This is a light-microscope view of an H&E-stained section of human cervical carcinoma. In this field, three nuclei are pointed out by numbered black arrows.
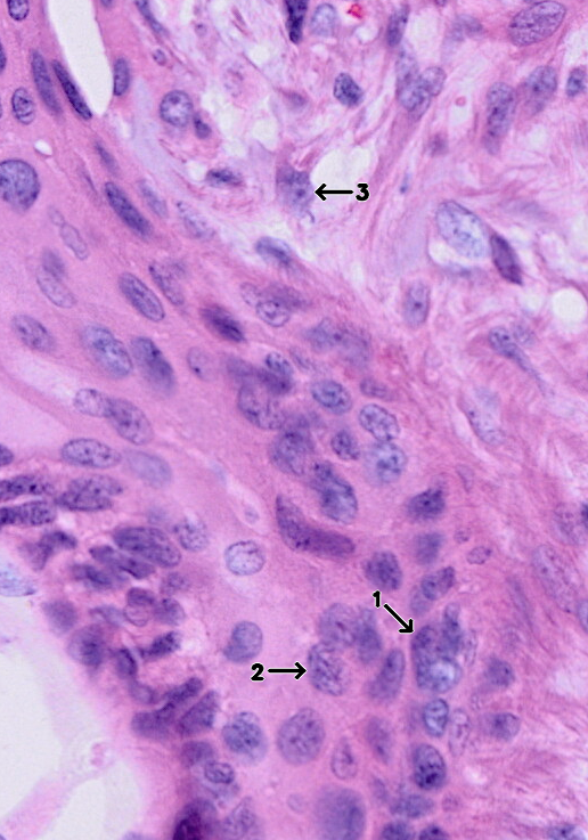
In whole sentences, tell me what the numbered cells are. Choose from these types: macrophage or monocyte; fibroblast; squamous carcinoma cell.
Cell 1 is a squamous carcinoma cell, cell 2 is a squamous carcinoma cell and cell 3 is a fibroblast.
